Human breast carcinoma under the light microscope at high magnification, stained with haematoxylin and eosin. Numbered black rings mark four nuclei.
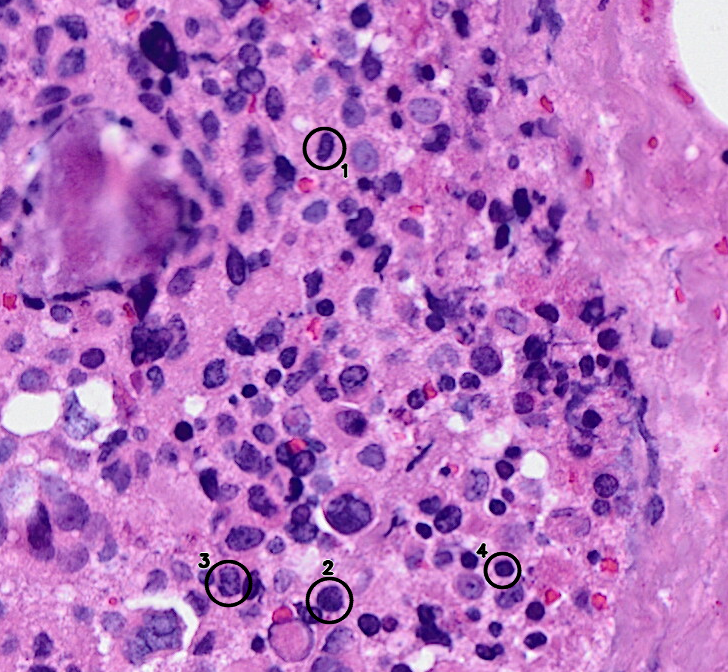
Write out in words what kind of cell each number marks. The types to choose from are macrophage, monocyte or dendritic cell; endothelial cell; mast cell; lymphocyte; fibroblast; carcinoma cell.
Cells 1, 2 and 3 are carcinoma cells. Cell 4 is a lymphocyte.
